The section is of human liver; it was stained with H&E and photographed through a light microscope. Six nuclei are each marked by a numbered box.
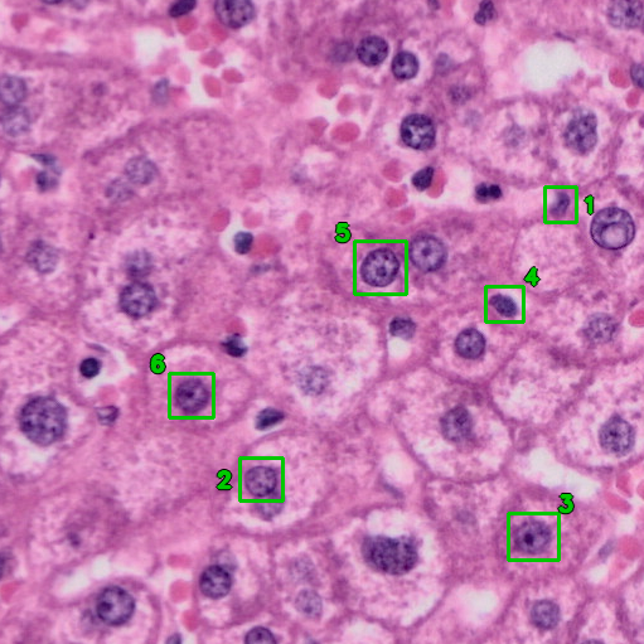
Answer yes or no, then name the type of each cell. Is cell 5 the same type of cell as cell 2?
Yes, in this tissue section, cells 5 and 2 are both hepatocytes.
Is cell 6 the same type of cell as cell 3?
Yes, cells 6 and 3 are both classed as hepatocytes.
